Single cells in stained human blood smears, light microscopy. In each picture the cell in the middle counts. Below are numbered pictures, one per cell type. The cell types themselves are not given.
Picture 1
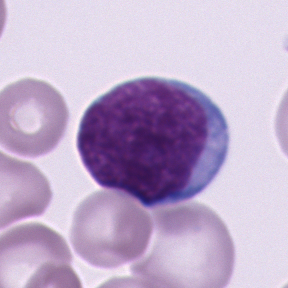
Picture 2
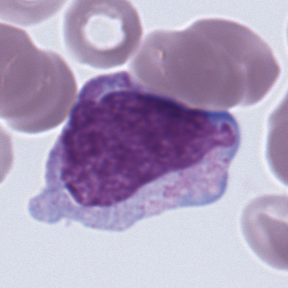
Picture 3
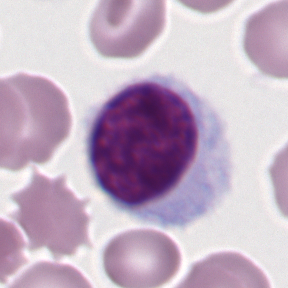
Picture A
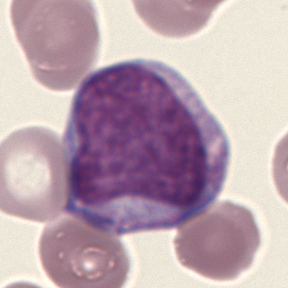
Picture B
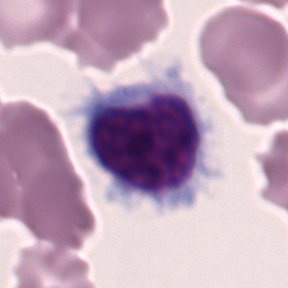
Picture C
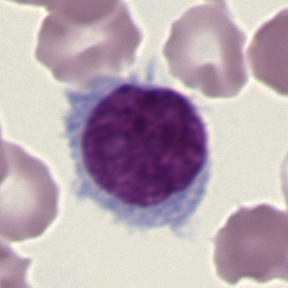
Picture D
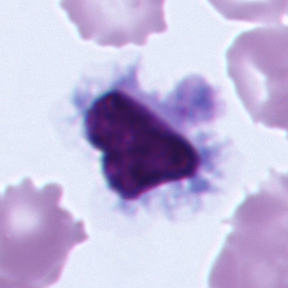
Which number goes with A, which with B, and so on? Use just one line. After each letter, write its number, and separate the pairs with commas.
A 2, B 3, C 3, D 3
